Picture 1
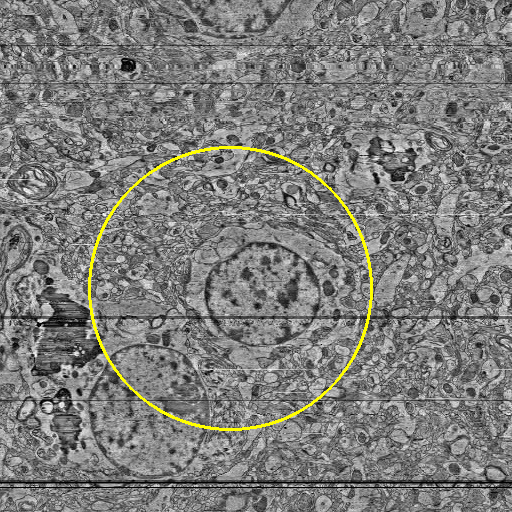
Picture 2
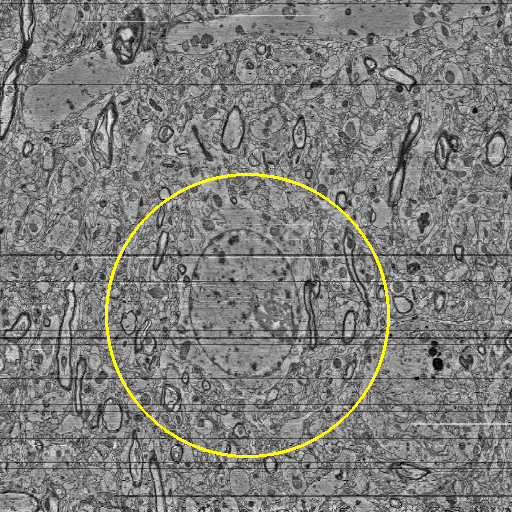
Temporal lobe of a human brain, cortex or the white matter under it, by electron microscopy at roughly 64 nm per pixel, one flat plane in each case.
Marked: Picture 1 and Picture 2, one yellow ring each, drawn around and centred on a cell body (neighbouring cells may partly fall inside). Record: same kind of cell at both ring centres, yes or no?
yes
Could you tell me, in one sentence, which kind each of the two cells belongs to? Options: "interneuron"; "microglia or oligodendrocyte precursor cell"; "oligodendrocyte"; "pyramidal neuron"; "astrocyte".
Each of the two rings surrounds an astrocyte.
